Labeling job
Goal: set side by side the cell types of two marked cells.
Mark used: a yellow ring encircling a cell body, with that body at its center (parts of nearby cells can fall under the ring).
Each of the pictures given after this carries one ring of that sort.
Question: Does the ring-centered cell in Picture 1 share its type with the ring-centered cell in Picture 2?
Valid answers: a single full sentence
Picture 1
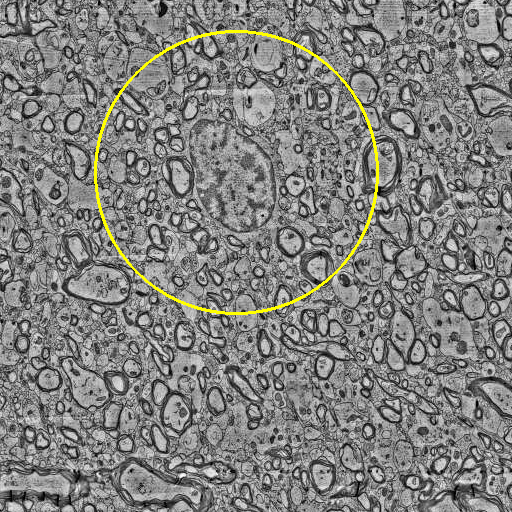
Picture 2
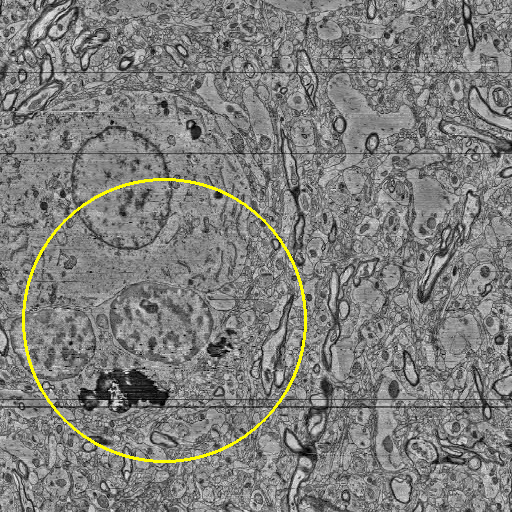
Yes, in Pictures 1 and 2 the cells at the ring centers share one type.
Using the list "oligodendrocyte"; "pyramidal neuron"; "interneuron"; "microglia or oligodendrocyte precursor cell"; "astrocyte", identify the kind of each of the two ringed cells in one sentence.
In each picture the ringed cell is an oligodendrocyte.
